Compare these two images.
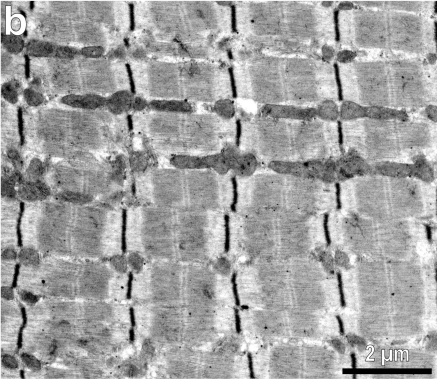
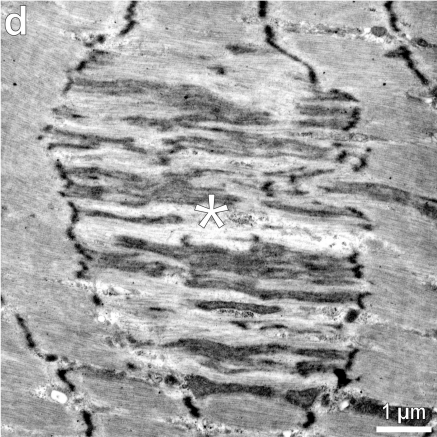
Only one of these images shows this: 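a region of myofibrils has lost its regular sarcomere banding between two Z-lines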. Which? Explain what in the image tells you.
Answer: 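The second image. Second image: a large disordered area with streaming dark material sits between Z-lines across several myofibrils. First image: all sarcomeres show regular bands with straight aligned Z-lines.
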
